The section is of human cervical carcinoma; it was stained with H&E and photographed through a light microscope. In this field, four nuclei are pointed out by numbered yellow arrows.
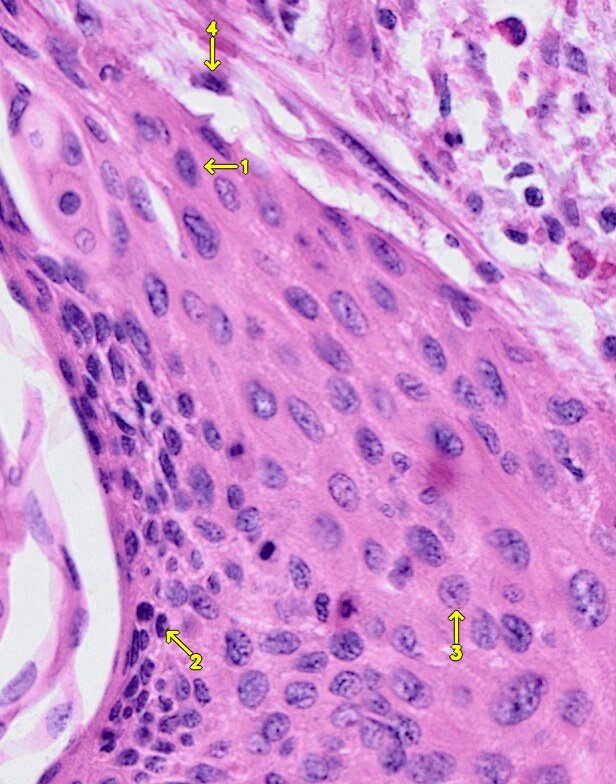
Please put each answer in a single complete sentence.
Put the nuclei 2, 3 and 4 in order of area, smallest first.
From smallest to largest, the order is 2, 4, 3.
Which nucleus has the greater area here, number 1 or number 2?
The larger nucleus is 1, at roughly 3 times the area of 2.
